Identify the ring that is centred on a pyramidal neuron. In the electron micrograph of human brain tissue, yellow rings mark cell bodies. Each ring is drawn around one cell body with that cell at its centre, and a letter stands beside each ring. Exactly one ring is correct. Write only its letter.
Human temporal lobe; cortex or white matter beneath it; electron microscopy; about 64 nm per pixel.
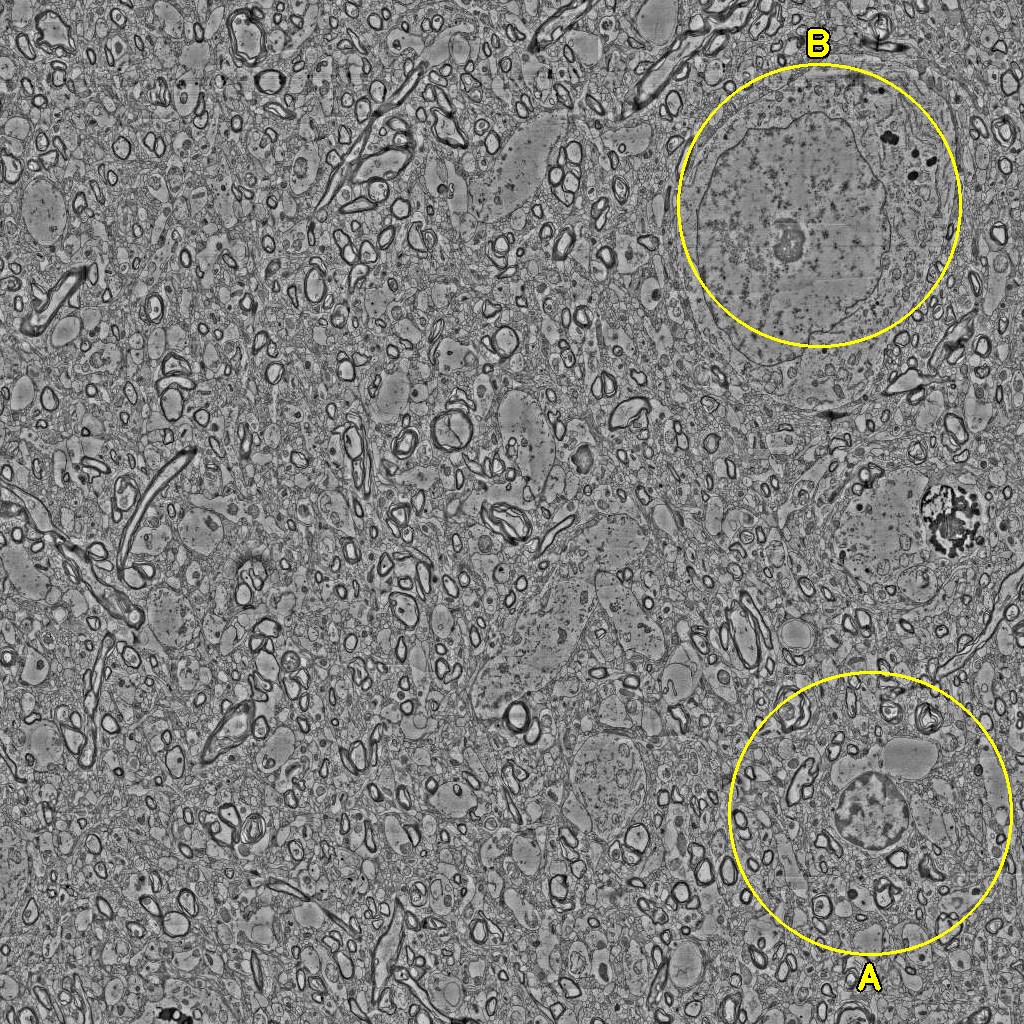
B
